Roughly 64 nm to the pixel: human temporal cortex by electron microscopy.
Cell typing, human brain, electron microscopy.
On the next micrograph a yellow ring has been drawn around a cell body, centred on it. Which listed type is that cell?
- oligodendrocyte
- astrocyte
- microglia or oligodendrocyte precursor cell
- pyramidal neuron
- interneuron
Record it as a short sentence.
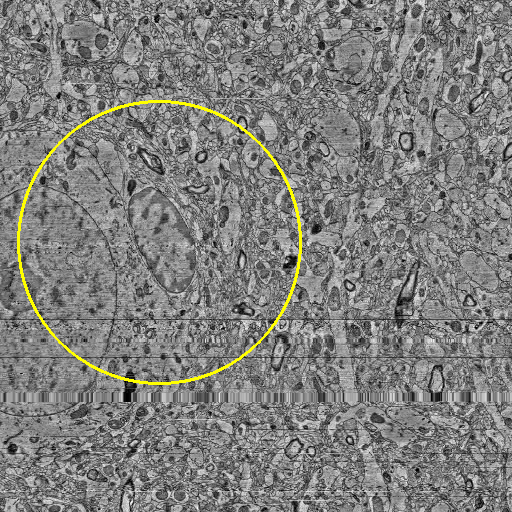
The cell body in the ring's centre belongs to a microglial cell or oligodendrocyte precursor cell.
